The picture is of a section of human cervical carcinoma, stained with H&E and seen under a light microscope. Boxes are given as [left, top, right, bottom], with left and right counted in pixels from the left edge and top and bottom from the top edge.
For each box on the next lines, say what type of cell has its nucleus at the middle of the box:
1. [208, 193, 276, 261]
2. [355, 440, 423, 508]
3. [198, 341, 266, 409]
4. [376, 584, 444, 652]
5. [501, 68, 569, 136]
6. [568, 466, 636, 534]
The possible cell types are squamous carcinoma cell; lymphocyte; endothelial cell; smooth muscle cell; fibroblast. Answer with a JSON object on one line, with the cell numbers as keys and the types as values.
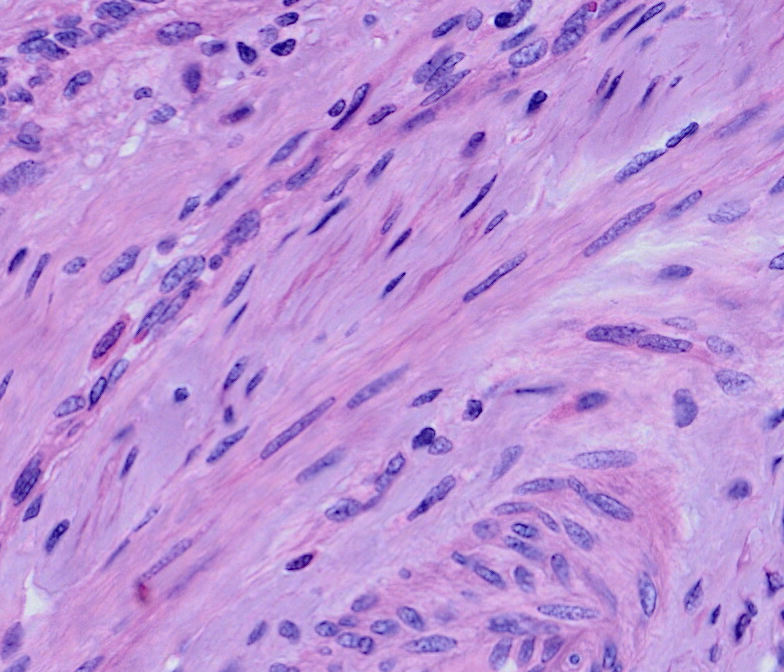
{"1": "endothelial cell", "2": "endothelial cell", "3": "fibroblast", "4": "smooth muscle cell", "5": "lymphocyte", "6": "smooth muscle cell"}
